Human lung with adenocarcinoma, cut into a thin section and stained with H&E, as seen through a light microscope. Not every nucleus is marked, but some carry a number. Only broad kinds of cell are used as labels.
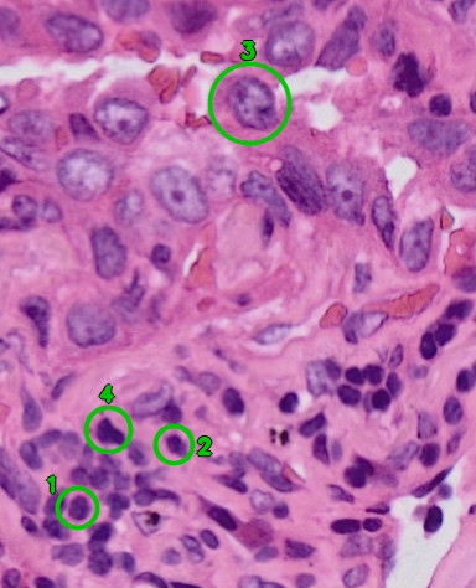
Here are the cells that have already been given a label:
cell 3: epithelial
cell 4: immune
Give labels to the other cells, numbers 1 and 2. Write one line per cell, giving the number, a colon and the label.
1: immune
2: immune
